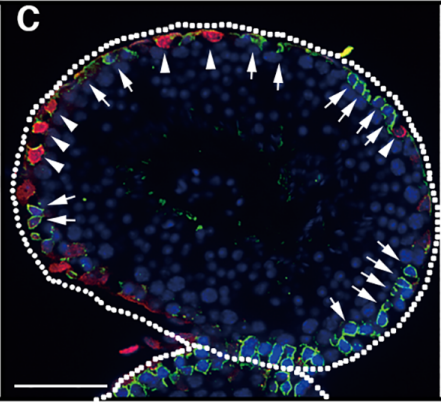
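This is a cross-section of a seminiferous tubule of the testis, bounded by its basement membrane, with many layers of blue nuclei filling the epithelium. Cells with green outlines also lie in the basal layer, often in clusters of rounded cells whose borders are traced in green. At the bottom part of a neighbouring tubule shows a row of green-outlined basal cells.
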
